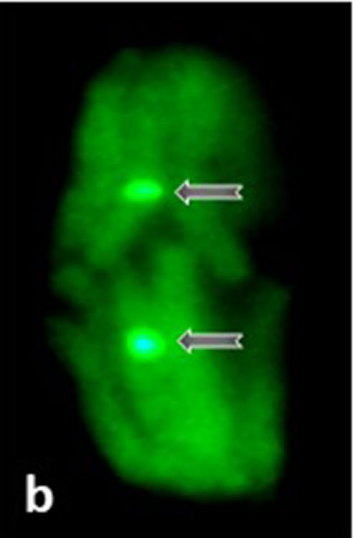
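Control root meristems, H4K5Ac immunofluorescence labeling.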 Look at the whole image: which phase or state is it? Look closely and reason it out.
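Two masses of chromosomes lie at opposite poles, separated by a darker gap. Each mass carries one bright spot. That points to this answer: anaphase.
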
